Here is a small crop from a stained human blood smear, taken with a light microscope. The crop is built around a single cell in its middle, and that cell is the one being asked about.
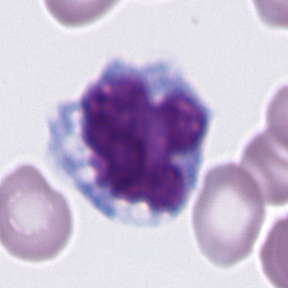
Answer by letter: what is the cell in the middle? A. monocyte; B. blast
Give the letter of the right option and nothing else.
A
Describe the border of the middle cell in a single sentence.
No smooth contour is present; the border is ragged or extended into projections.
